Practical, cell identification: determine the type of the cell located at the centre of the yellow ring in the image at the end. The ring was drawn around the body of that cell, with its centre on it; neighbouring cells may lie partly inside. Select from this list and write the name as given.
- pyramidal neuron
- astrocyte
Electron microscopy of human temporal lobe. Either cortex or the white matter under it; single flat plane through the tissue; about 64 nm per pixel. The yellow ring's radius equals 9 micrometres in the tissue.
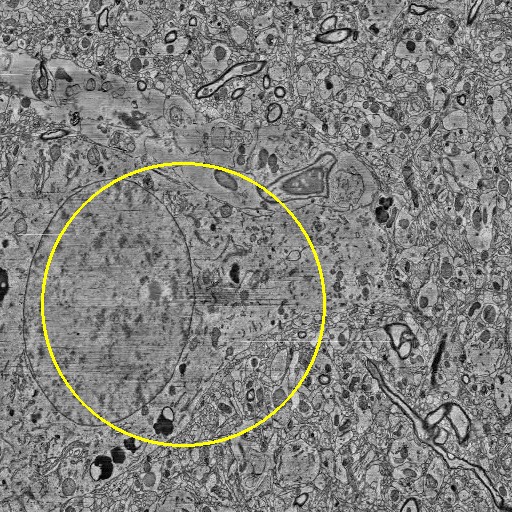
pyramidal neuron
